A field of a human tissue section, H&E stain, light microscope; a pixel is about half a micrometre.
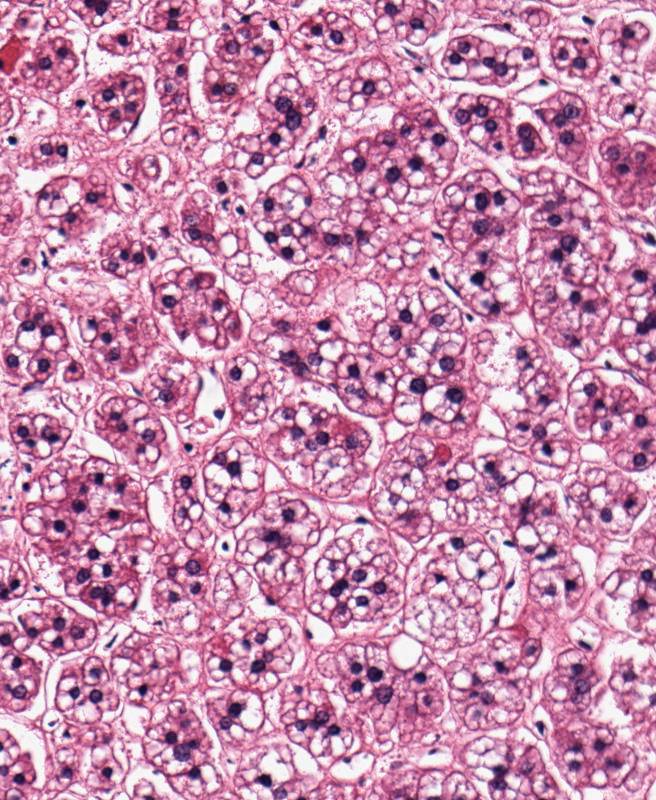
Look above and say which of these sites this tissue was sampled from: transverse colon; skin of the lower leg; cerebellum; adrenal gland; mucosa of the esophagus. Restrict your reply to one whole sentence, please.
The origin of this tissue is the adrenal gland.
